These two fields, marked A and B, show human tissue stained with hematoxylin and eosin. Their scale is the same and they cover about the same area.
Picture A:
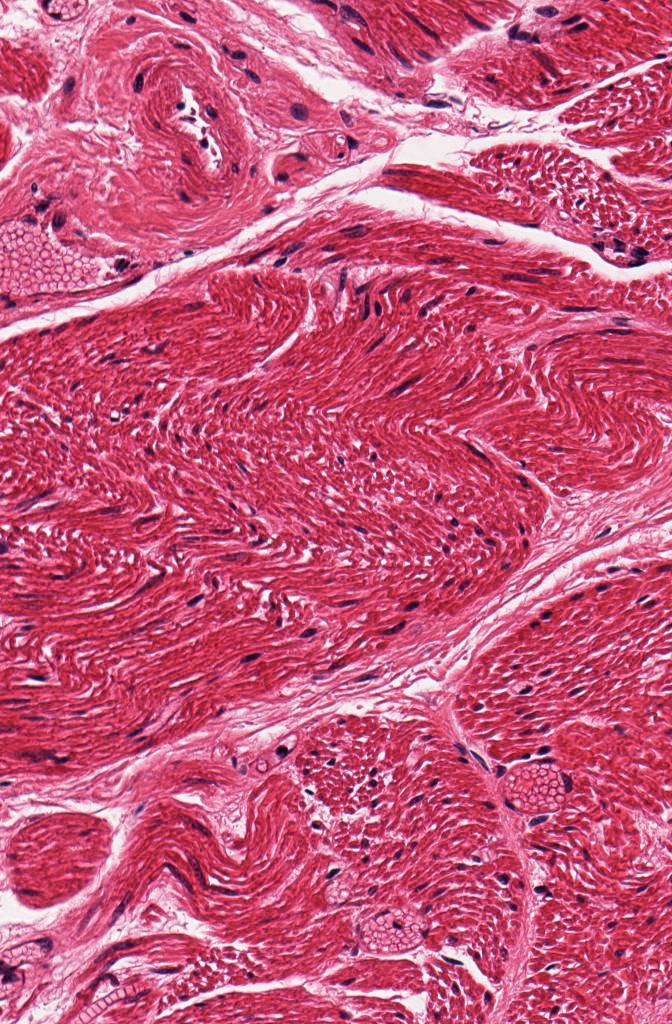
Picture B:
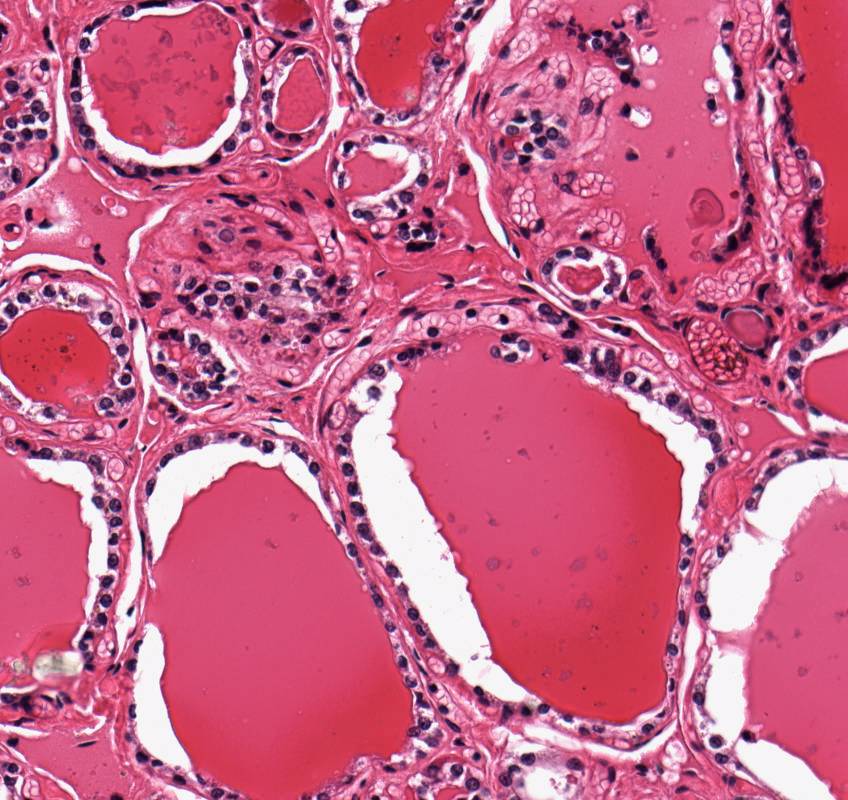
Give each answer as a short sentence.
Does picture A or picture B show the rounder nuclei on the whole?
The nuclei are rounder in picture B.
